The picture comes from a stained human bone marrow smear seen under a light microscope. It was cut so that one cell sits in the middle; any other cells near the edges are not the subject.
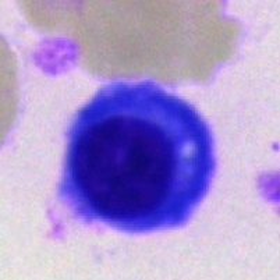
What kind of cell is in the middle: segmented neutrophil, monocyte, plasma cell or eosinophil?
plasma cell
